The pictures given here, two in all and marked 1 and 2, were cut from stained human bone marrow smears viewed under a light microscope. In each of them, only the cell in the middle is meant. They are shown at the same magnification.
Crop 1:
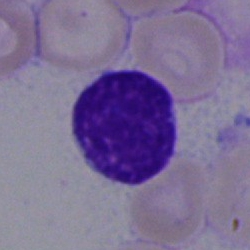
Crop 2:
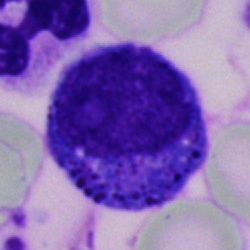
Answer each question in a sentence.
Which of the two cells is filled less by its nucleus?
The nucleus fills less of the cell in crop 2 than in crop 1.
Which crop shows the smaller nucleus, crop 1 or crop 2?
Smaller is the nucleus in crop 1, and the other is about 1.5 times as large in area.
